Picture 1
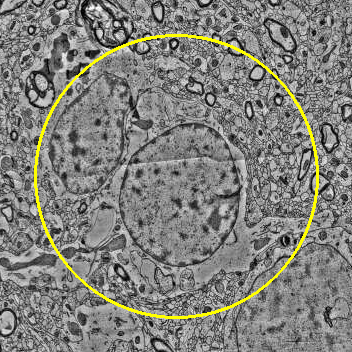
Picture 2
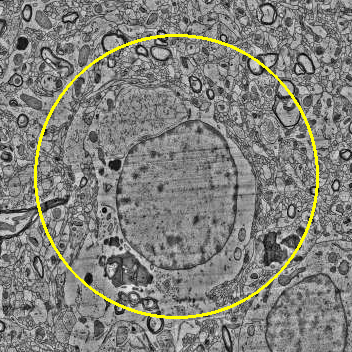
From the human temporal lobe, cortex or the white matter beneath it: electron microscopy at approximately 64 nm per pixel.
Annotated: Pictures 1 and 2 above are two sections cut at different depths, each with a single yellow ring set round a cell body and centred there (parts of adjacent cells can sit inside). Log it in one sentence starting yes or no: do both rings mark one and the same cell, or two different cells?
Yes, the same individual cell is enclosed by both rings.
